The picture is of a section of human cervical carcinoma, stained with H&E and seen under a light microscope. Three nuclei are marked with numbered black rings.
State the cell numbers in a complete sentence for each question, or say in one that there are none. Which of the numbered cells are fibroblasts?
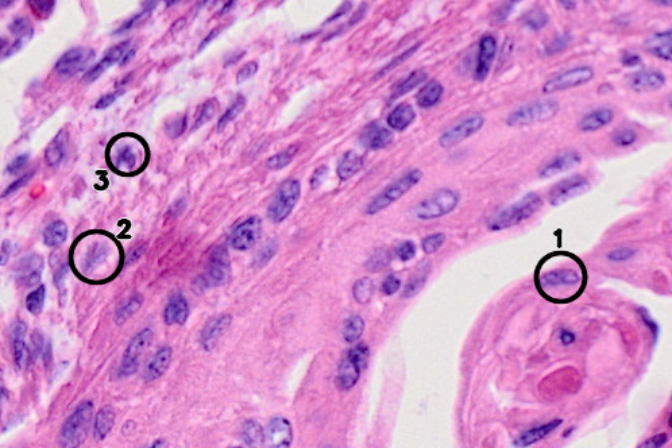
In this section, the cells numbered 2 and 3 are fibroblasts.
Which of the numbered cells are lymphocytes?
All of the numbered cells are cells other than lymphocytes.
